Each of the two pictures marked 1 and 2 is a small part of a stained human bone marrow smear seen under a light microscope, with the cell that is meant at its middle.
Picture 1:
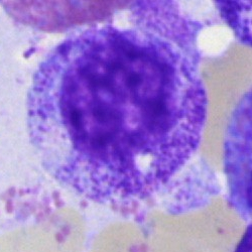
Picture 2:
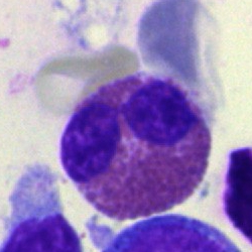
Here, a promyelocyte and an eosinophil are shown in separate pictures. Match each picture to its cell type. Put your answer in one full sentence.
It is picture 1 that shows a promyelocyte, and picture 2 that shows an eosinophil.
